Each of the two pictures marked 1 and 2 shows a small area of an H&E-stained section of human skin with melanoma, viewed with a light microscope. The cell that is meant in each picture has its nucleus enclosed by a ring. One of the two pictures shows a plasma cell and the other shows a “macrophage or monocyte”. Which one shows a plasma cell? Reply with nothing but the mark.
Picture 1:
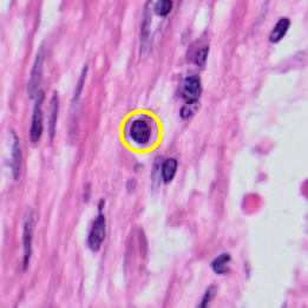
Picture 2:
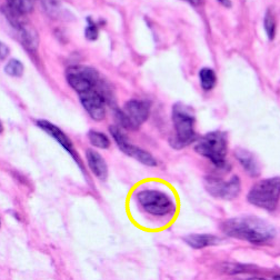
1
